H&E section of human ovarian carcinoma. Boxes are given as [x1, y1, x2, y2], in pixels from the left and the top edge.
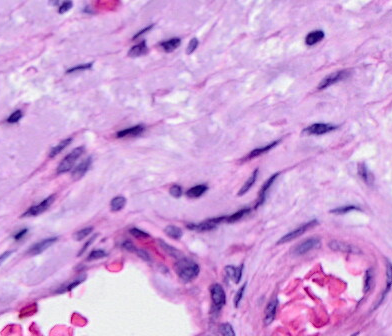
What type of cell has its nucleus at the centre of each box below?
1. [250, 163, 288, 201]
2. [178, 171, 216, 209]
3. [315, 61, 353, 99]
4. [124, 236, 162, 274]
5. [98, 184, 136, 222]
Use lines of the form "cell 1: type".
cell 1: fibroblast
cell 2: lymphocyte
cell 3: fibroblast
cell 4: endothelial cell
cell 5: lymphocyte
